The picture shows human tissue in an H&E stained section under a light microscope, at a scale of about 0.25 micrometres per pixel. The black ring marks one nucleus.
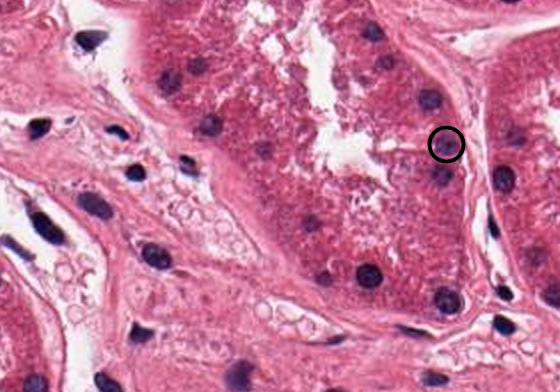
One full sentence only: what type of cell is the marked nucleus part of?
The marked nucleus is part of a proximal tubule cell.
